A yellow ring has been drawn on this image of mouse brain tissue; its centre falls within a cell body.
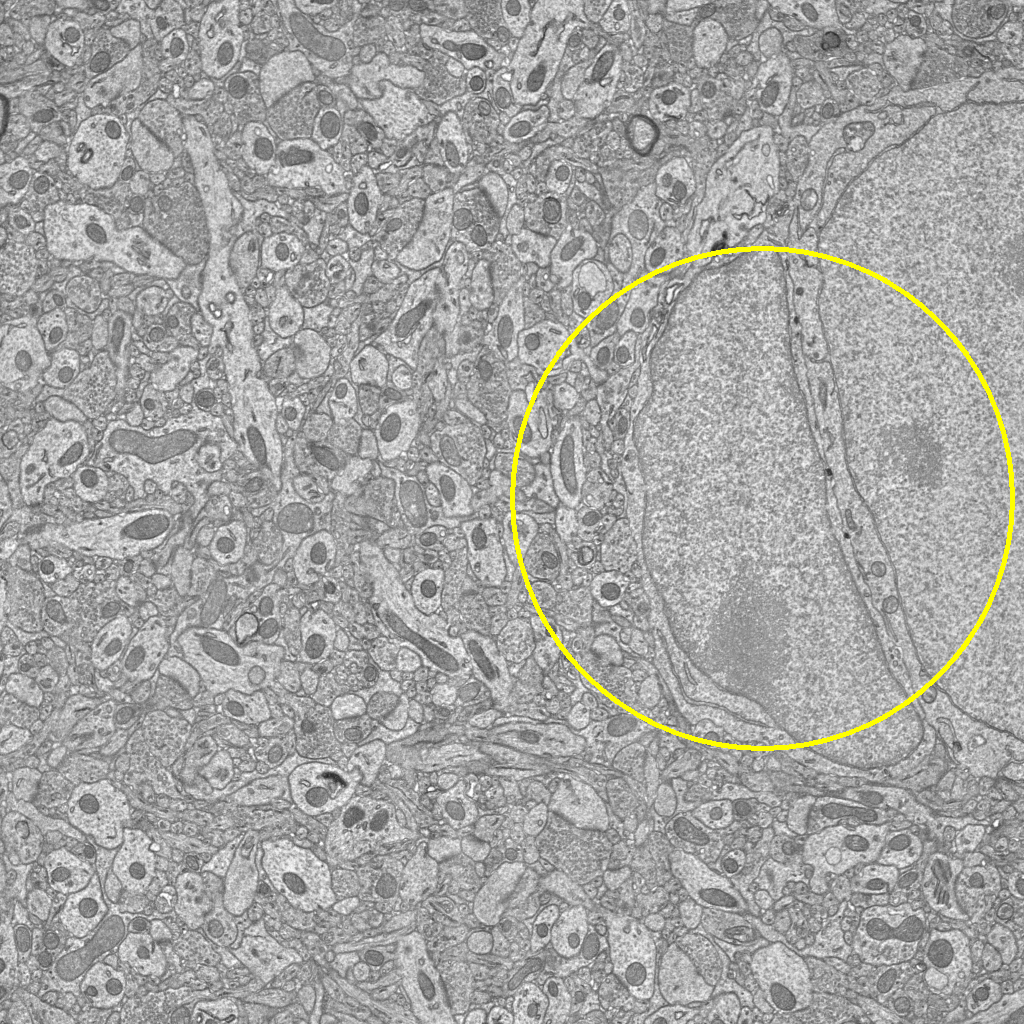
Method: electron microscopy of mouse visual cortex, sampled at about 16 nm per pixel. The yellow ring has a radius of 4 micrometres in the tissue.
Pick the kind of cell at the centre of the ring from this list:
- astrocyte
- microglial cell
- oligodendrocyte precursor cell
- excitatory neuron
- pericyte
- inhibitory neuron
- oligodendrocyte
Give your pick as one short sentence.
The centre of the ring holds an oligodendrocyte precursor cell.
